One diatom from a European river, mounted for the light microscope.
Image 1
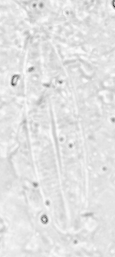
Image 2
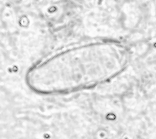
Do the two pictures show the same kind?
Yes, both are Achnanthidium.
